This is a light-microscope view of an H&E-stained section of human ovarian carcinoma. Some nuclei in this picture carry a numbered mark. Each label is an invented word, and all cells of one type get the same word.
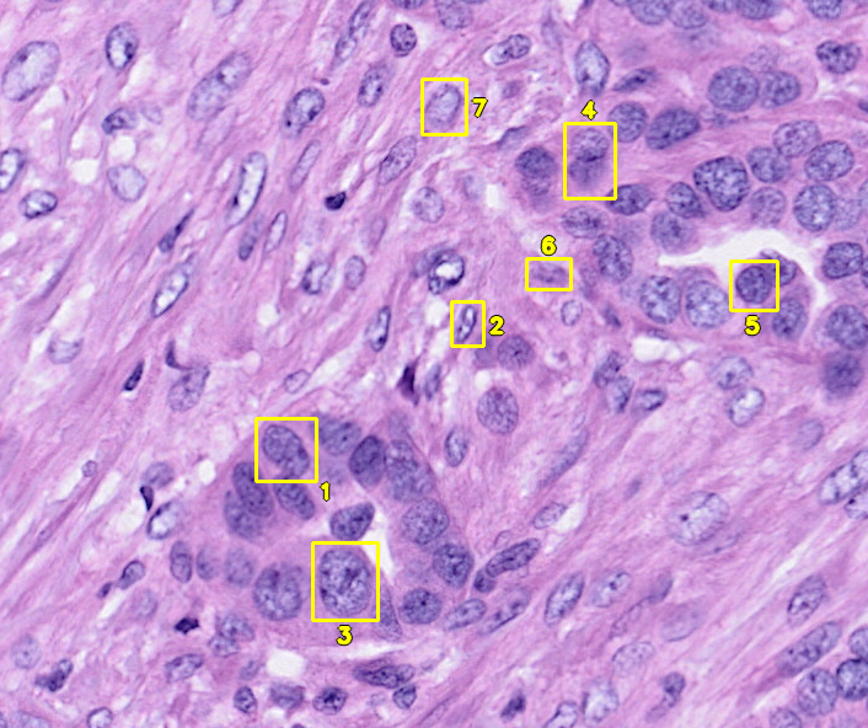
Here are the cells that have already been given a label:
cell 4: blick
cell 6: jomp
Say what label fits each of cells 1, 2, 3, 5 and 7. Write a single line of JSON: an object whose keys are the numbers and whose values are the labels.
{"1": "blick", "2": "jomp", "3": "blick", "5": "blick", "7": "jomp"}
